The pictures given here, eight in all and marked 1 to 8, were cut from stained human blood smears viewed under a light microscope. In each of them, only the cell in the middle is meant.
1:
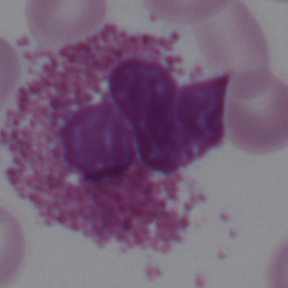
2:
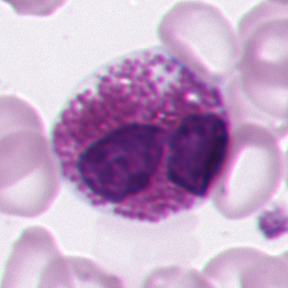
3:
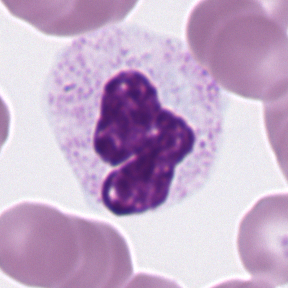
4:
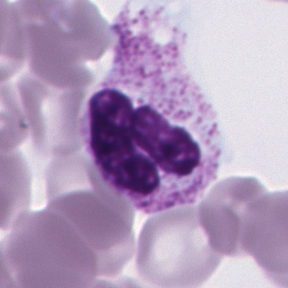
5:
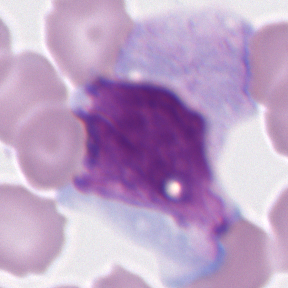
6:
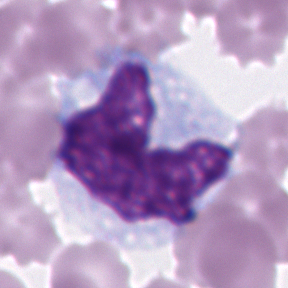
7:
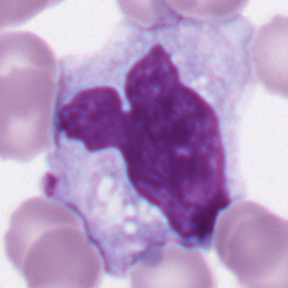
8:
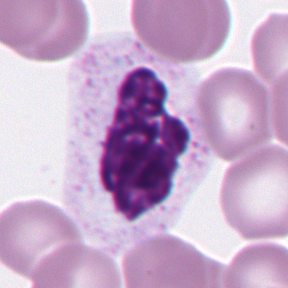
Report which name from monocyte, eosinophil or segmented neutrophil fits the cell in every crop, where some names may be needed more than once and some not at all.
1: eosinophil
2: eosinophil
3: segmented neutrophil
4: segmented neutrophil
5: monocyte
6: monocyte
7: monocyte
8: segmented neutrophil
